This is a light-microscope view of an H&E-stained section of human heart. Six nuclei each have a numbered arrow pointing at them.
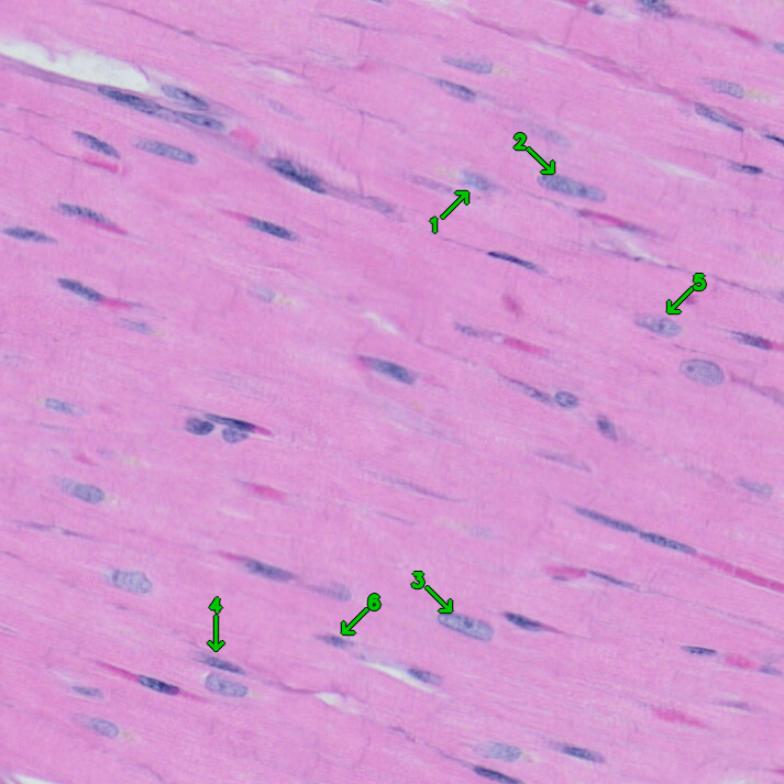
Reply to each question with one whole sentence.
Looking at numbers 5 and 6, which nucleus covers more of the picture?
At about 2 times the area of nucleus 6, nucleus 5 is the larger of the two.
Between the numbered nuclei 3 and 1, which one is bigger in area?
At about 1.5 times the area of nucleus 1, nucleus 3 is the larger of the two.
